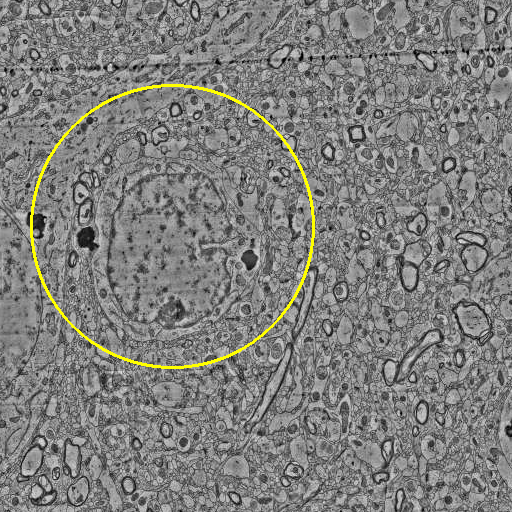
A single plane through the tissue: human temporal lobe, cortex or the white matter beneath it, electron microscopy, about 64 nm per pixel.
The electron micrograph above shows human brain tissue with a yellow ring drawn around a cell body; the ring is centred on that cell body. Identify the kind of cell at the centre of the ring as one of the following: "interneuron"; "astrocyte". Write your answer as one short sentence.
The cell at the centre of the ring is an interneuron.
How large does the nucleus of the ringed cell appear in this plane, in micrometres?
About 10 by 9 micrometres in this plane.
